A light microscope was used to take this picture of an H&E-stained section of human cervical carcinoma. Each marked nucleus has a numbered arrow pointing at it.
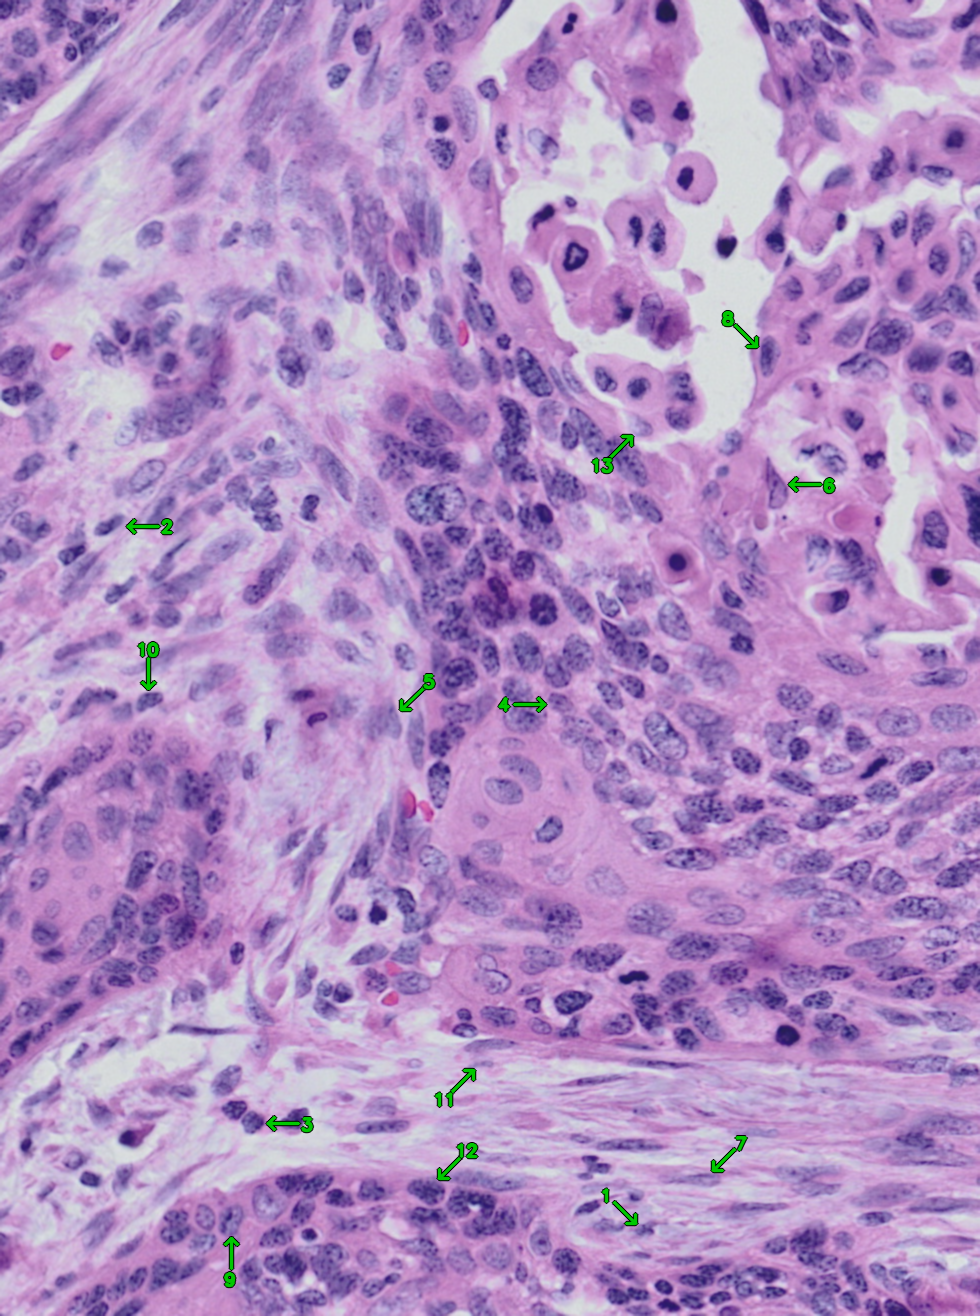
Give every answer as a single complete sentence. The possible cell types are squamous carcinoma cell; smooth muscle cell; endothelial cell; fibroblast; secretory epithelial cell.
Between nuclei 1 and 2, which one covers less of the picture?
Number 1 is smaller, since number 2 takes up about 2 times as much area.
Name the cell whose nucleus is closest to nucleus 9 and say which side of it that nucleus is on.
The nearest nucleus is that of a squamous carcinoma cell and lies to the left of nucleus 9.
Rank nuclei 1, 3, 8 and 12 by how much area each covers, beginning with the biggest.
By area, largest first, they run 12, 8, 3, 1.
